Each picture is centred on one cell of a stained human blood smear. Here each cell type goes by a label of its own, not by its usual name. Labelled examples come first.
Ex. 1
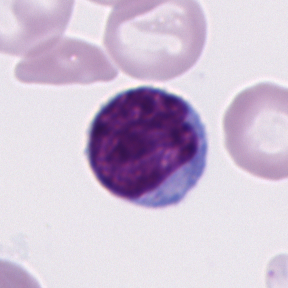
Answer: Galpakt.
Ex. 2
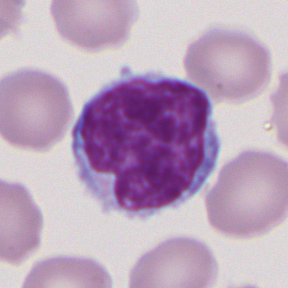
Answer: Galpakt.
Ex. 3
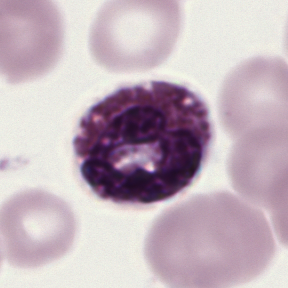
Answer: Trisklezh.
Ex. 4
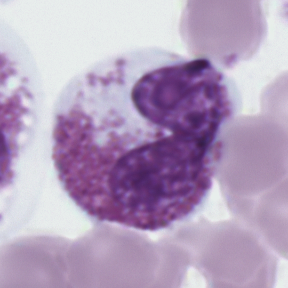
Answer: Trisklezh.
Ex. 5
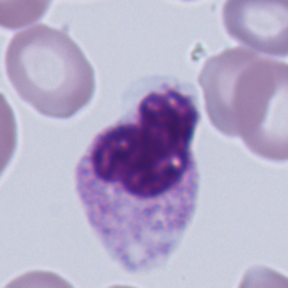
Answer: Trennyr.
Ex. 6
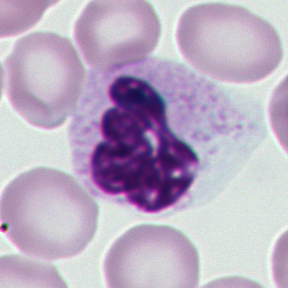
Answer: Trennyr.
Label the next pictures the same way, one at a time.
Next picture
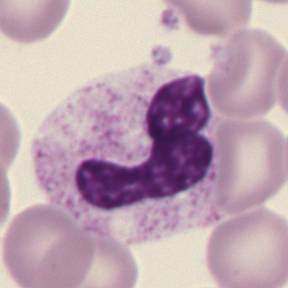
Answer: Trennyr.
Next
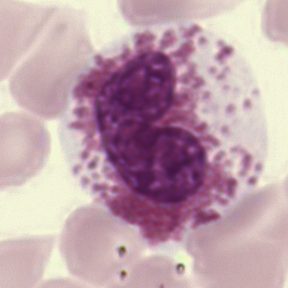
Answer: Trisklezh.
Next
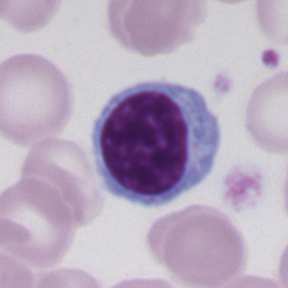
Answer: Galpakt.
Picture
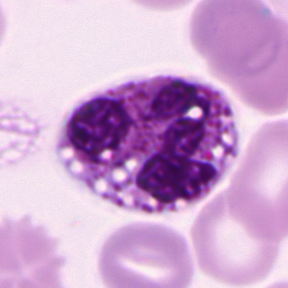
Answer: Trisklezh.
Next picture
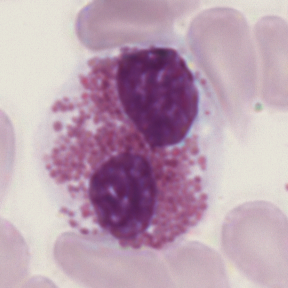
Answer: Trisklezh.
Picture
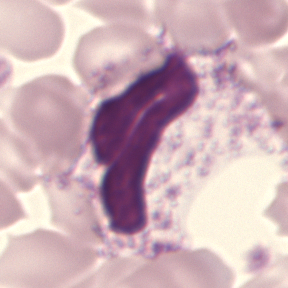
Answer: Trennyr.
